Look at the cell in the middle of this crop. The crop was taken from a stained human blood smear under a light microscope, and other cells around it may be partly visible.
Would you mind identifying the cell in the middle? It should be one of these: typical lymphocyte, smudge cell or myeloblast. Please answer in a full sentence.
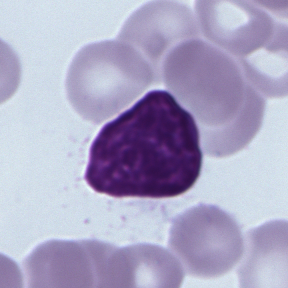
The centrally placed cell is classified as a smudge cell.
